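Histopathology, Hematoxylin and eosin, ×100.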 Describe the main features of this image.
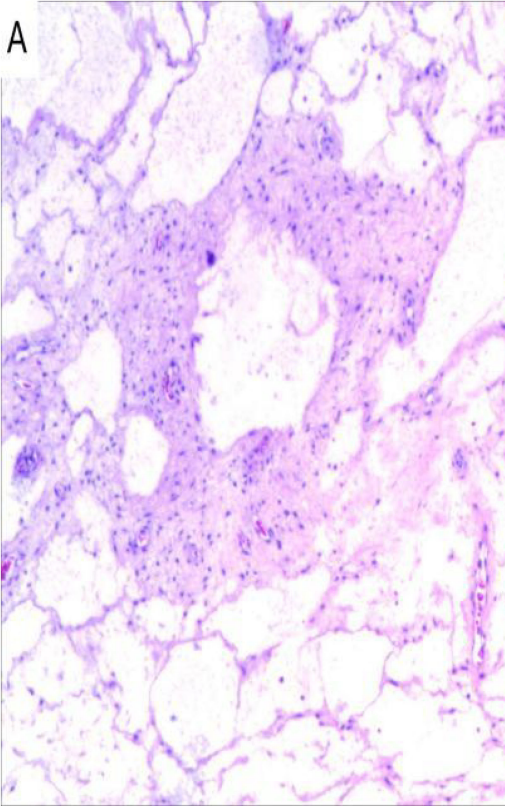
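This low-power view is crowded with many wide, irregular channels that look like dilated lymphatic vessels, separated by thin partitions lined with flattened cells. Several of the spaces are empty, and others hold a faint pink, finely granular fluid. Between the channels runs a band of pink connective tissue with scattered spindle-shaped nuclei and a few small blood vessels. Toward the bottom right the tissue loosens into a delicate, lacy meshwork of thin pink strands.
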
